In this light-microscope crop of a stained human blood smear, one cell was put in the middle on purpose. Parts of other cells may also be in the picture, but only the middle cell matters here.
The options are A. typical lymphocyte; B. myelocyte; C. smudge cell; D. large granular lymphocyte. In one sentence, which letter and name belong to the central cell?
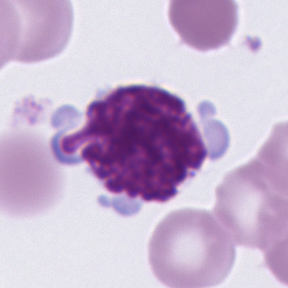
The cell in the middle is a typical lymphocyte, and so option A is correct.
